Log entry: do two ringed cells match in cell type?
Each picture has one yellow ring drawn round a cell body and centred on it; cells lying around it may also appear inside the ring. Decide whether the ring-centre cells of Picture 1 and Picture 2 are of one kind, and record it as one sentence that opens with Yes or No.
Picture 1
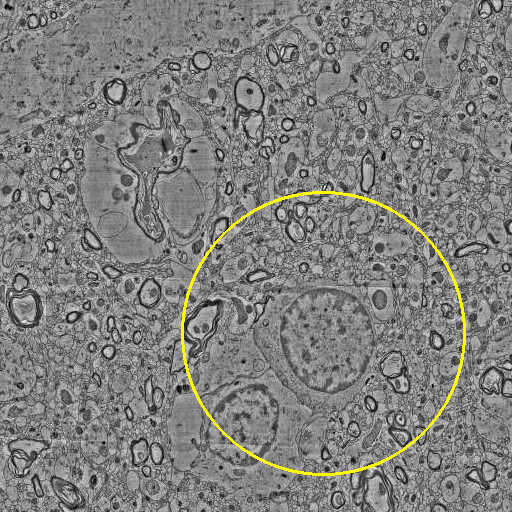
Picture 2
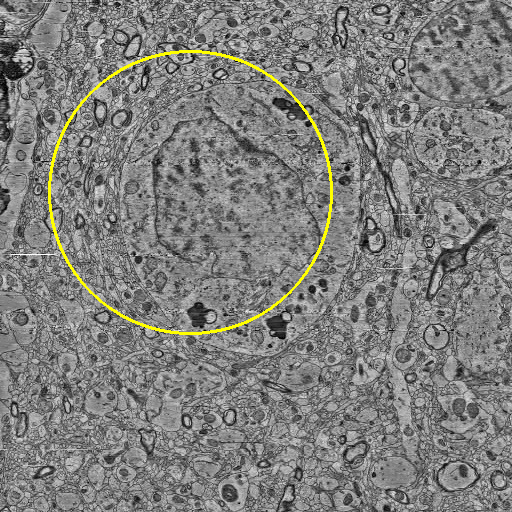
No, the cells at the ring centres of the two pictures belong to two kinds.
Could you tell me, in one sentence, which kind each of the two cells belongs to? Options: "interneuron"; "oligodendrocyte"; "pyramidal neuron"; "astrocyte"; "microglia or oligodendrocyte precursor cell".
At the centre of the first ring sits an oligodendrocyte, and at the centre of the second sits a pyramidal neuron.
